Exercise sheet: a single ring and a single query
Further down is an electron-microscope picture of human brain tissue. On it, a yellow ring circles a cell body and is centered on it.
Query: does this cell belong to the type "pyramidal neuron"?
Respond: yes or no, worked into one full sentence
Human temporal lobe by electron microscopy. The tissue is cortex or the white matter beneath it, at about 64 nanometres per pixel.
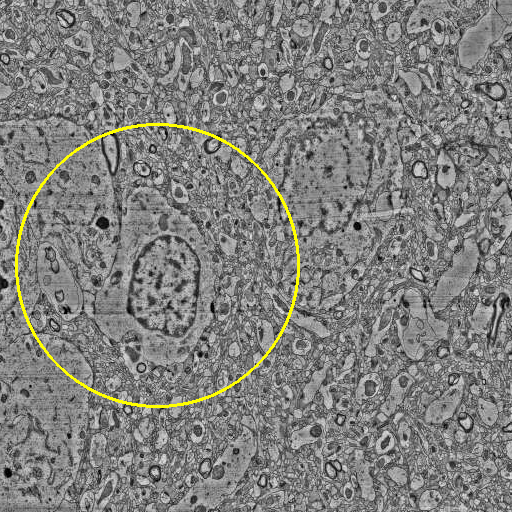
No, this ringed cell, found at the center of the ring in the picture, is of a different type.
